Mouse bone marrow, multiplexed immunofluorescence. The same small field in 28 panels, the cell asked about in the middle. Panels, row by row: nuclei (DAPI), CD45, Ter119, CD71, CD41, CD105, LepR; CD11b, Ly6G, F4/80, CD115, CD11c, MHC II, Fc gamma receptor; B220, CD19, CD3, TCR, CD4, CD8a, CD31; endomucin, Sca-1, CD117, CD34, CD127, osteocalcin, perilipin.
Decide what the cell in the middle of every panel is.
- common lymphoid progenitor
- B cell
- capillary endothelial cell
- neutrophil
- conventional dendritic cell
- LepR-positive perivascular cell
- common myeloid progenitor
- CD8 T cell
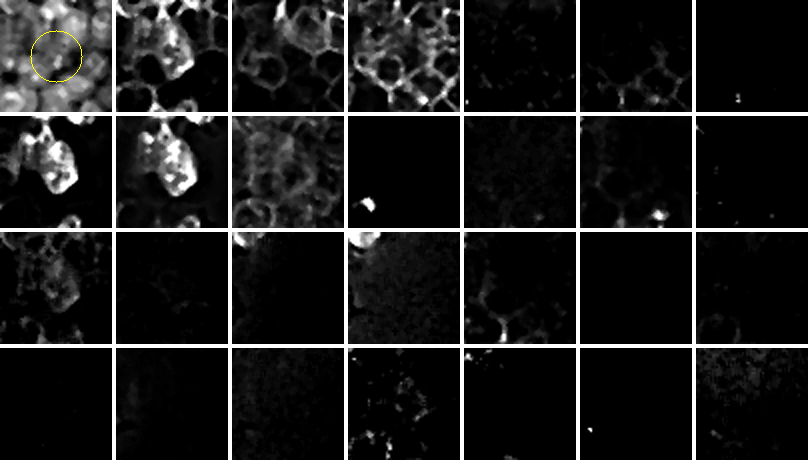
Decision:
neutrophil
